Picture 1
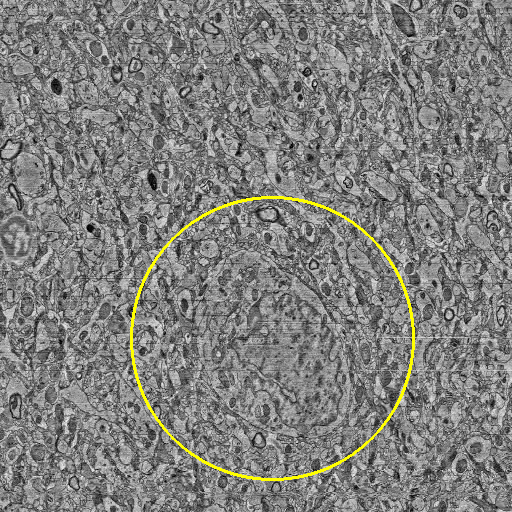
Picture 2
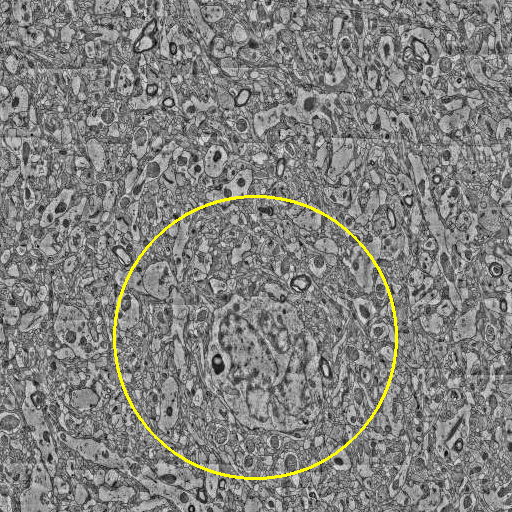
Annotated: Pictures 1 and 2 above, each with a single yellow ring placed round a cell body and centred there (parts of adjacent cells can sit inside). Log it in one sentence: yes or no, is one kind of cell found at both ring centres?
Yes, the ring centres of the two pictures hold cells of one kind.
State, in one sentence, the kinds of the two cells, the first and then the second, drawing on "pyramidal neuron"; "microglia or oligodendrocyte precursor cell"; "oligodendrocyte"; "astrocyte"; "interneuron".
In each of the two pictures, the ringed cell is an interneuron.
